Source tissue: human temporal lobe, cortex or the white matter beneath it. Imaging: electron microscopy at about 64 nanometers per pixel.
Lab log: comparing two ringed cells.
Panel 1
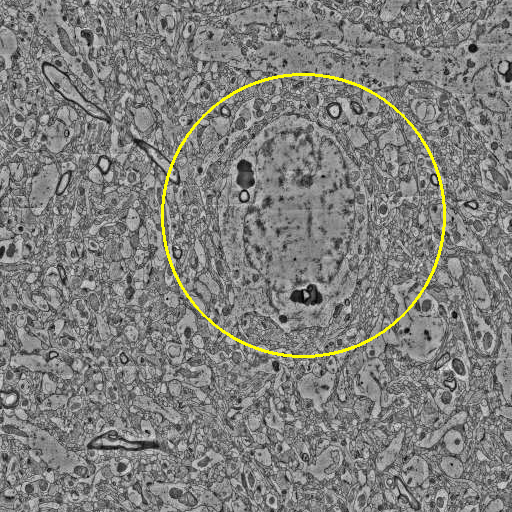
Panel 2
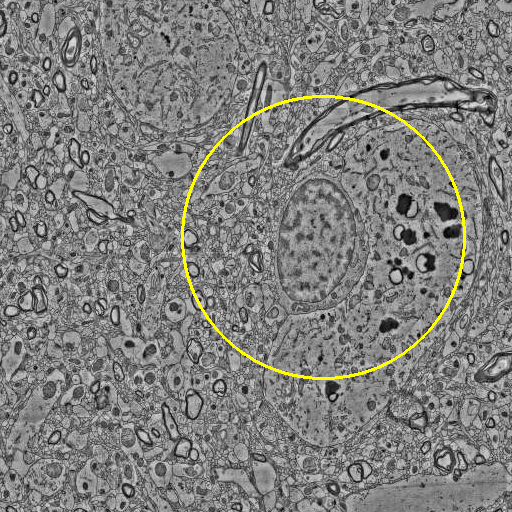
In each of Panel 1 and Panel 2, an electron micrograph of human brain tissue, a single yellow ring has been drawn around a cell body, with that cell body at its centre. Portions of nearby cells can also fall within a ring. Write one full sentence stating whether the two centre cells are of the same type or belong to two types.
The cells at the ring centres in Panel 1 and Panel 2 belong to two types.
